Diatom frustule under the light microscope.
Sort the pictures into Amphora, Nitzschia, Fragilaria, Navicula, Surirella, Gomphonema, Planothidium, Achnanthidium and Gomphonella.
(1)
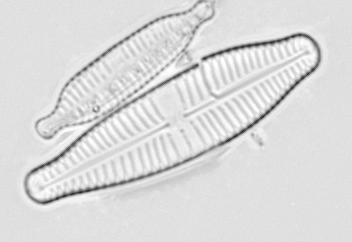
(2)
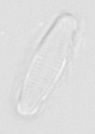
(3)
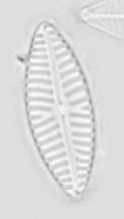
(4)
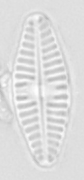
Gomphonema: 1
Achnanthidium: 2
Navicula: 3
Planothidium: 4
